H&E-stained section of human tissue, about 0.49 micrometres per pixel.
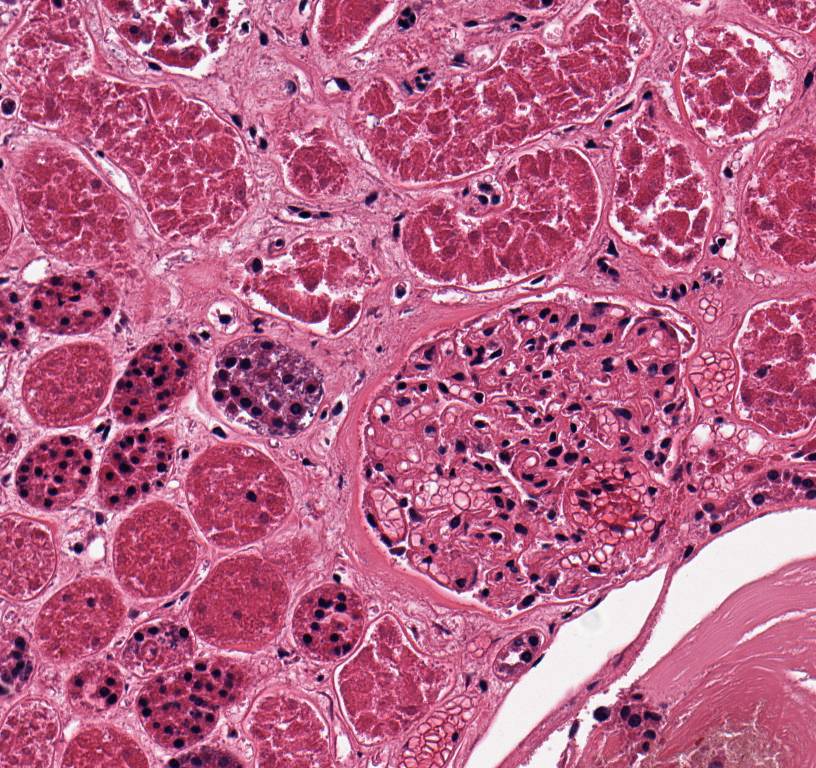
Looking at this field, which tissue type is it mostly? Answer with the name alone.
cortical labyrinth of the kidney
